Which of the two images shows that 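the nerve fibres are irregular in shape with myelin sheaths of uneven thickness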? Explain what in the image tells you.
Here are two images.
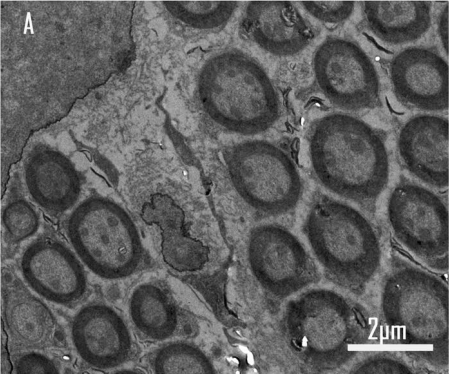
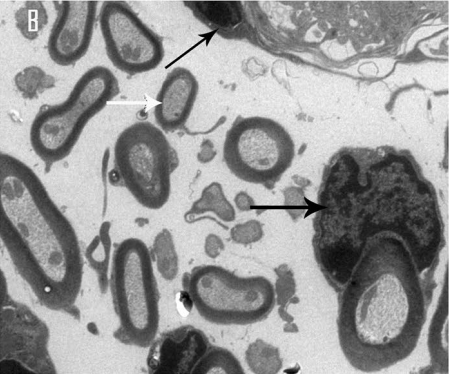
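The second image. First image: fibres are round to oval, closely packed, with dark rings of fairly even width. Second image: fibres are elongated, bent or dumbbell-shaped, sheaths vary in width, and wide pale spaces lie between them.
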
